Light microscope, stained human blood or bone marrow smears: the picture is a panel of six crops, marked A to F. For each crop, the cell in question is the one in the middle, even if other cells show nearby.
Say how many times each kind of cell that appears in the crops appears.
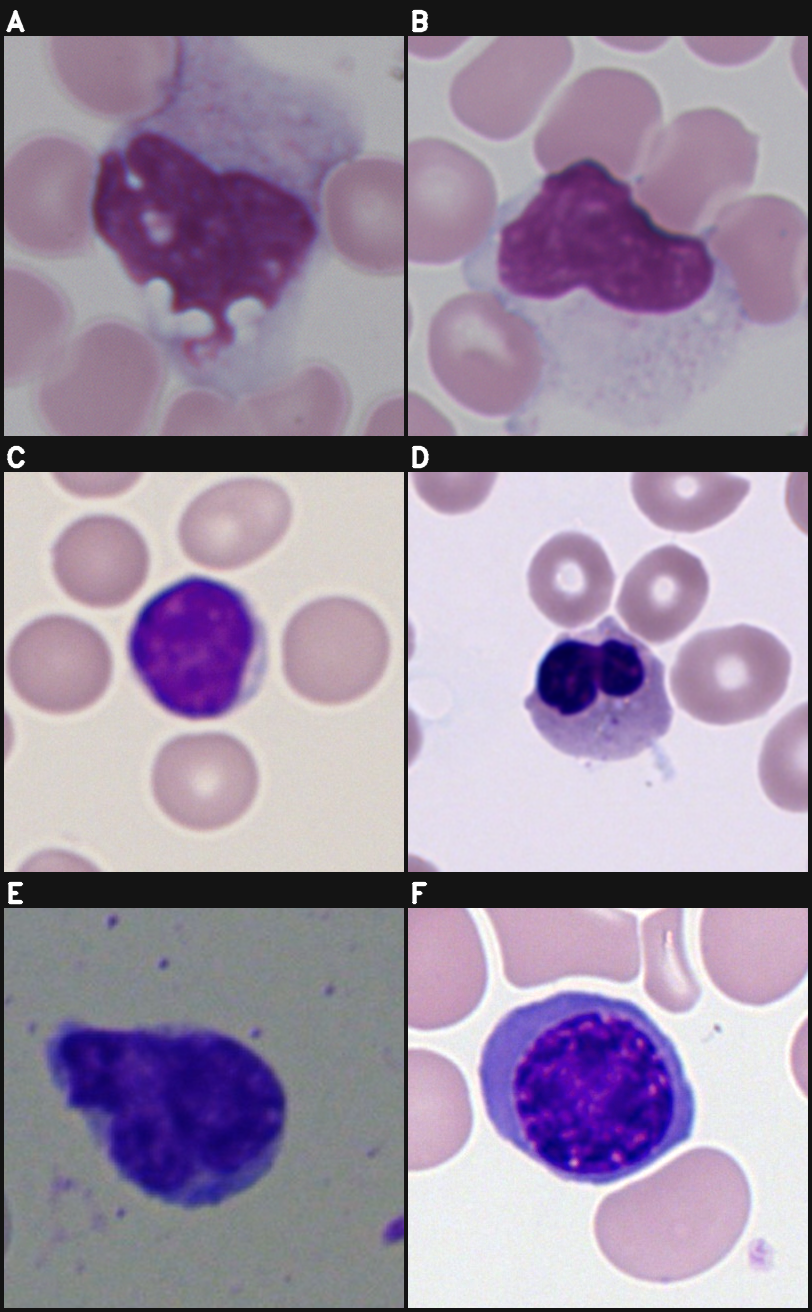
monocyte: 2
lymphocyte: 2
erythroblast: 2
